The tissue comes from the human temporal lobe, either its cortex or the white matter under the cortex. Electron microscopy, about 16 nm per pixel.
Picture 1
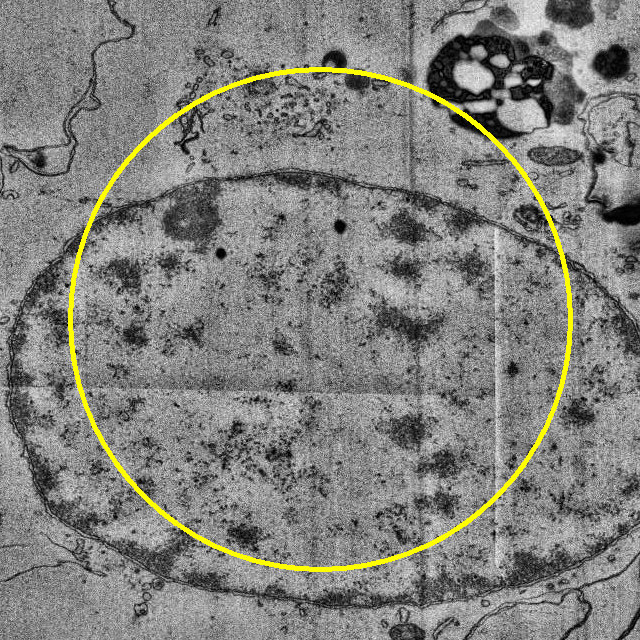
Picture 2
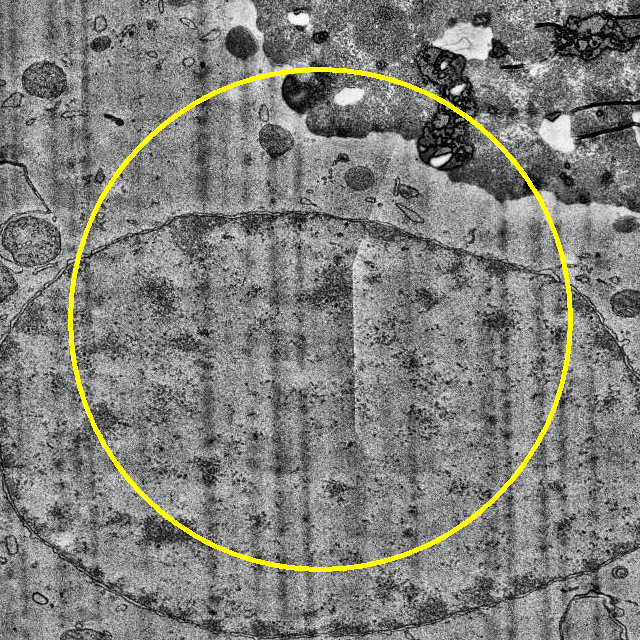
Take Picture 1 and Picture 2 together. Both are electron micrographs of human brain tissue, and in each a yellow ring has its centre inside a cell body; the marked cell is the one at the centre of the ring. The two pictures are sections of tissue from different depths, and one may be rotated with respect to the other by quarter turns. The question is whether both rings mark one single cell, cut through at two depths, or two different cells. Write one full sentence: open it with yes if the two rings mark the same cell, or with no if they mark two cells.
Yes, both marked profiles belong to the very same cell.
